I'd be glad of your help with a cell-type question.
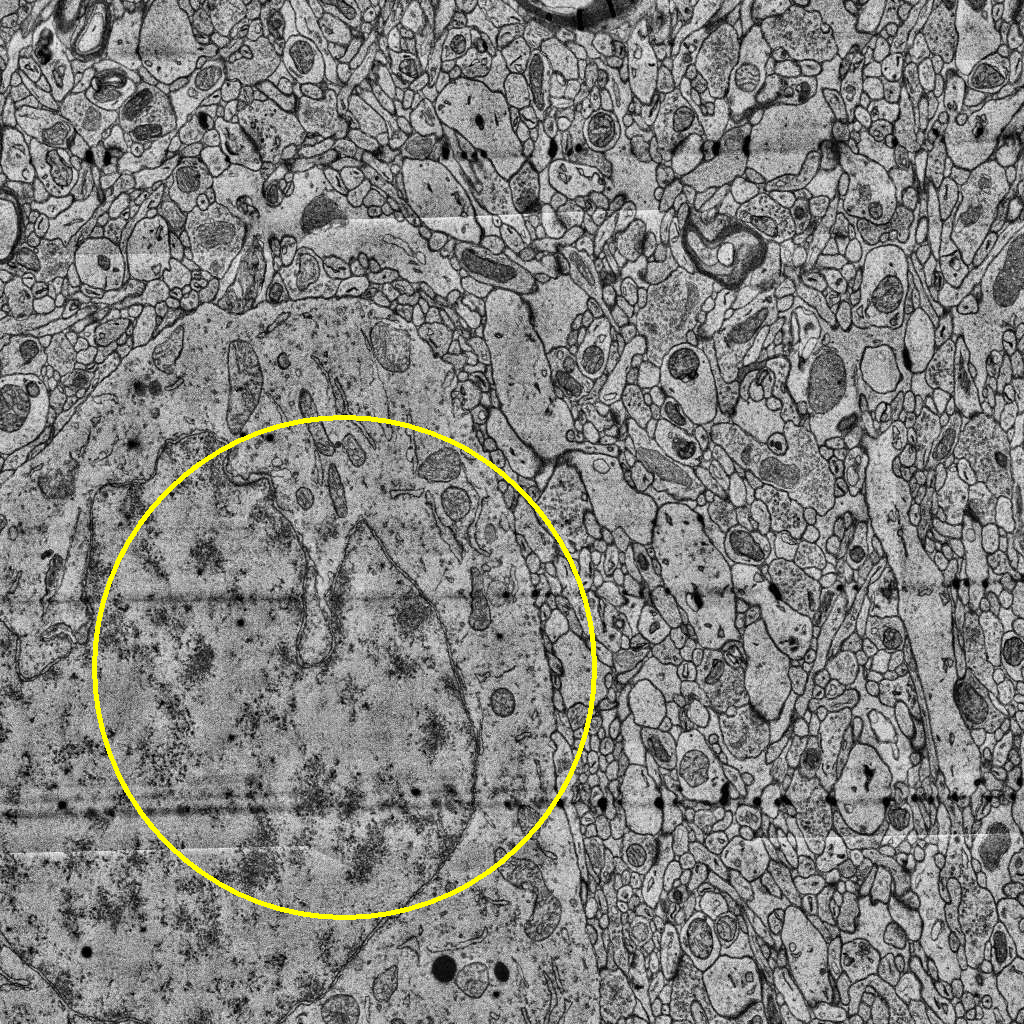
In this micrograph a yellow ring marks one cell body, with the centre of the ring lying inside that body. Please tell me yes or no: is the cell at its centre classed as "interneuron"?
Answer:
yes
